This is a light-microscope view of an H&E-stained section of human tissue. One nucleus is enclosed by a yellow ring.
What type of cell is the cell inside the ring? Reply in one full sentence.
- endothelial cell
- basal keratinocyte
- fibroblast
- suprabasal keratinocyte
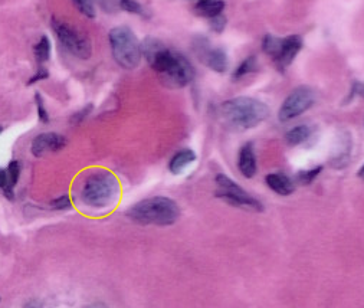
The cell meant here is an endothelial cell.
